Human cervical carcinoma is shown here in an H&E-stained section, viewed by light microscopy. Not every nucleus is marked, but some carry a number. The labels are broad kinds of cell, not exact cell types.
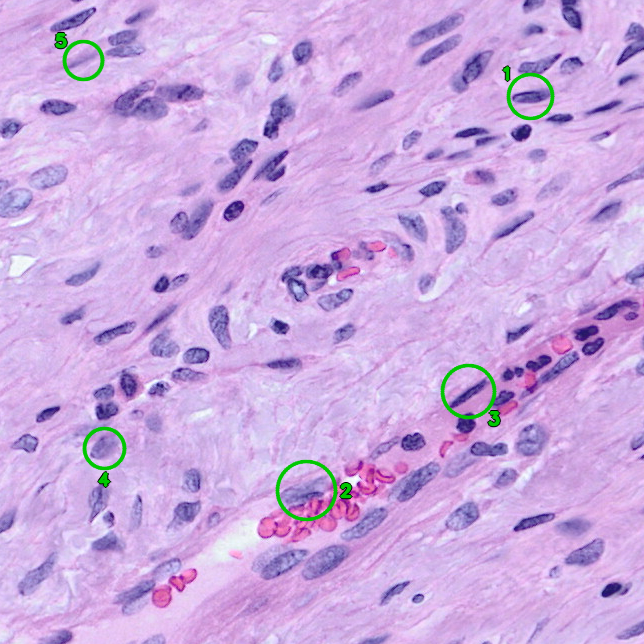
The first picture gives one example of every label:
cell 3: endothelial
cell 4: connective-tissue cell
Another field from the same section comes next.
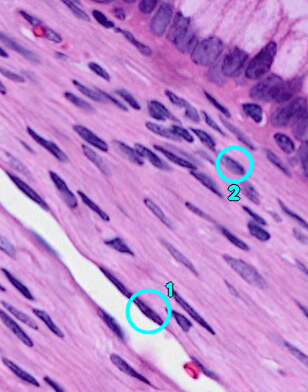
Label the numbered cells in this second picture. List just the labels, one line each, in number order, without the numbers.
endothelial
connective-tissue cell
